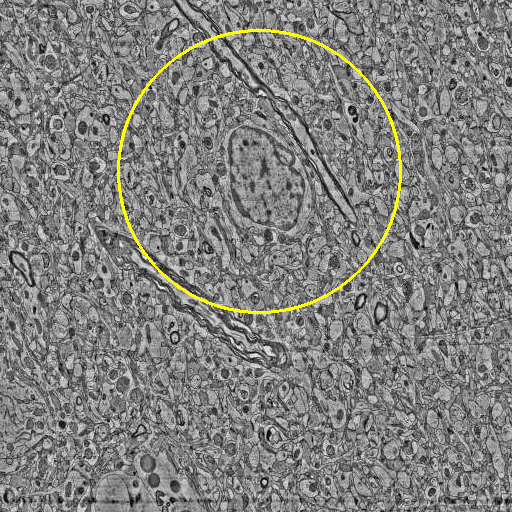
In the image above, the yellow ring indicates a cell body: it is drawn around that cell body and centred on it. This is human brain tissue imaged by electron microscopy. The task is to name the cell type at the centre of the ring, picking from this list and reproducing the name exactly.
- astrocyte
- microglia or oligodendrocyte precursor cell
microglia or oligodendrocyte precursor cell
